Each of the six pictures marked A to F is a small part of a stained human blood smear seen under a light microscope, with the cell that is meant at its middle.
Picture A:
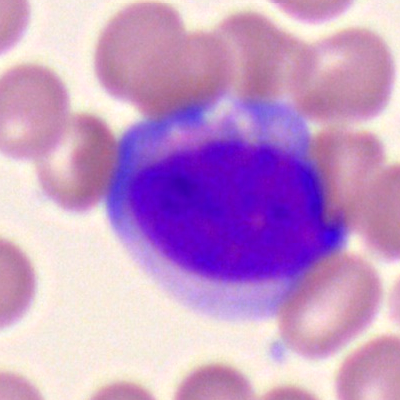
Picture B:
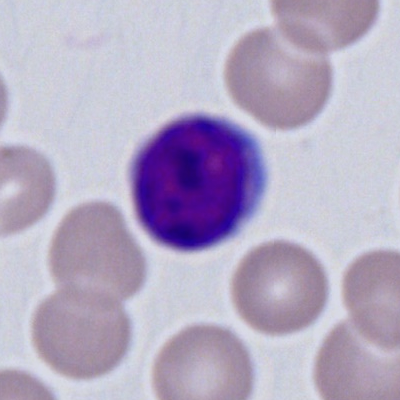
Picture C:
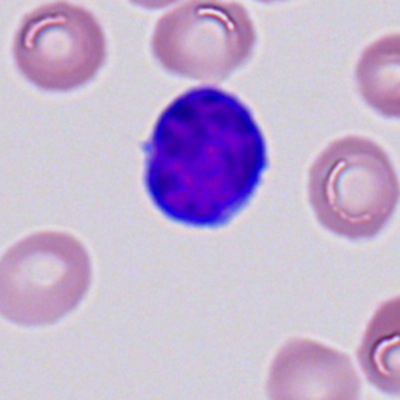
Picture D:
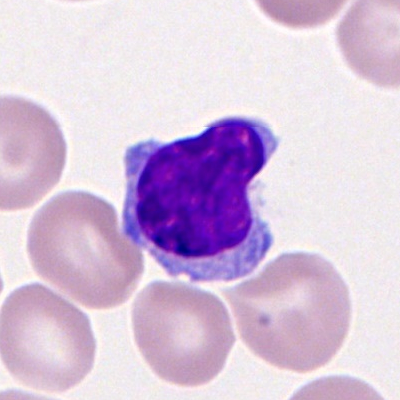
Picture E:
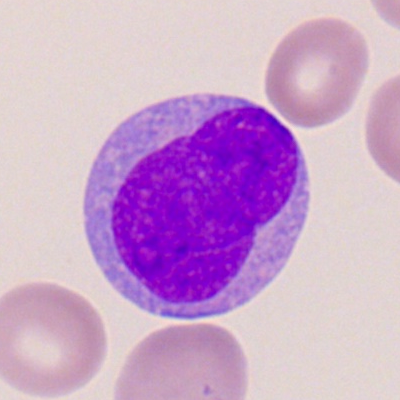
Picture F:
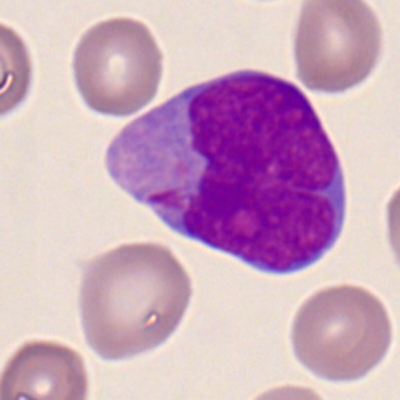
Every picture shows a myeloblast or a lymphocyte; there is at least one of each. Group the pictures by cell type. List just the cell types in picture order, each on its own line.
myeloblast
lymphocyte
lymphocyte
lymphocyte
myeloblast
myeloblast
